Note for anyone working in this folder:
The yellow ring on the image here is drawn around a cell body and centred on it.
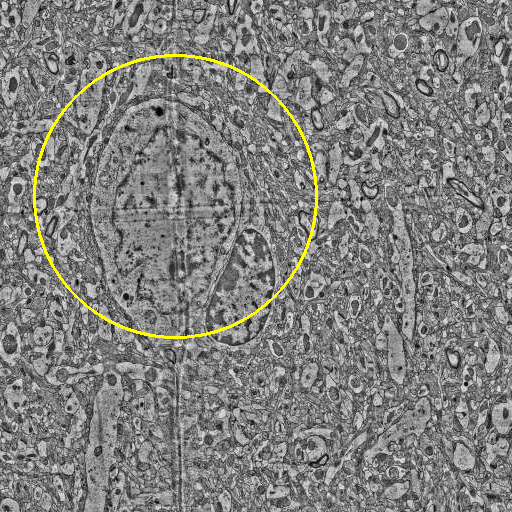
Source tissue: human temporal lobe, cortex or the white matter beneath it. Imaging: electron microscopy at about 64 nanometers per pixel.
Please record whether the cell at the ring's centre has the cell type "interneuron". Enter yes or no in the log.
yes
